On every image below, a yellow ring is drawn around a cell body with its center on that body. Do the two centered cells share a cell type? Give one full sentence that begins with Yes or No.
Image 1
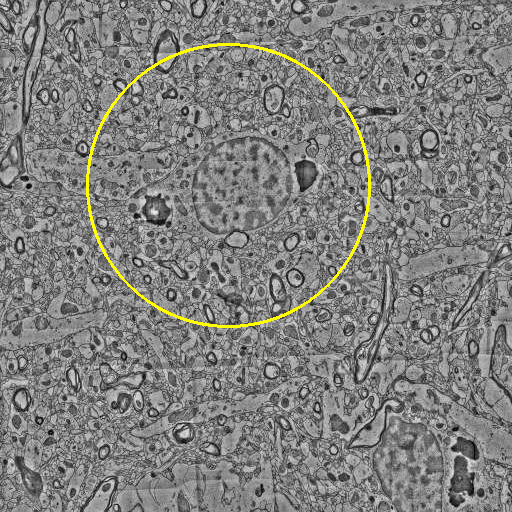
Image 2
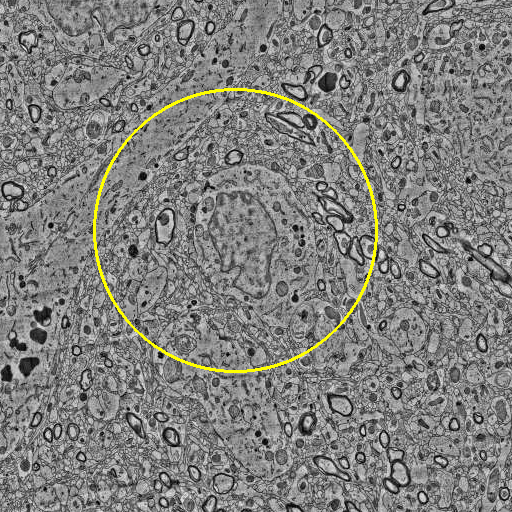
No, the centered cells in the two images are of two separate cell types.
